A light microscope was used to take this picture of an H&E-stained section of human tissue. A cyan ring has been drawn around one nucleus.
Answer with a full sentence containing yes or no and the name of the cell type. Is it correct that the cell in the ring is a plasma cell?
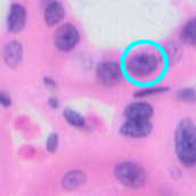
No, sorry, but the cell in the ring is a collecting duct cell and not a plasma cell.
